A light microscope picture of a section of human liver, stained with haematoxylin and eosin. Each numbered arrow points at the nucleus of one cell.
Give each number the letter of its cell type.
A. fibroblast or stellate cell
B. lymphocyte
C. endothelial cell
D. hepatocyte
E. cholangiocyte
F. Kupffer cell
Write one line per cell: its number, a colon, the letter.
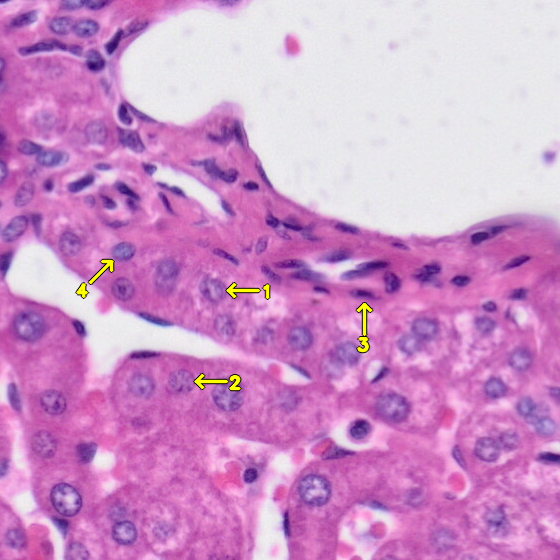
1: D
2: D
3: A
4: E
